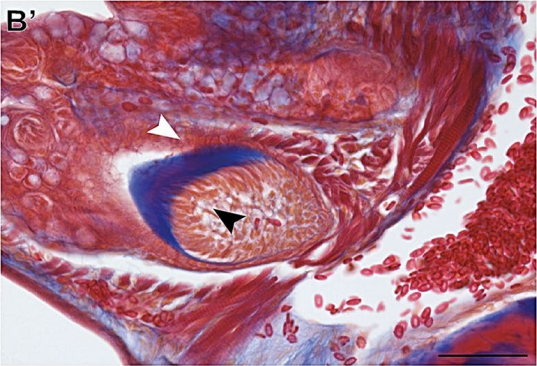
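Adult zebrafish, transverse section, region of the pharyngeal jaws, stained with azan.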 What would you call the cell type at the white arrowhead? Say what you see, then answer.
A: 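The arrowhead points at the cell layer on the outer side of the blue crescent of matrix. The cells lie in an epithelial layer covering the tooth.
Conclusion: ameloblasts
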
